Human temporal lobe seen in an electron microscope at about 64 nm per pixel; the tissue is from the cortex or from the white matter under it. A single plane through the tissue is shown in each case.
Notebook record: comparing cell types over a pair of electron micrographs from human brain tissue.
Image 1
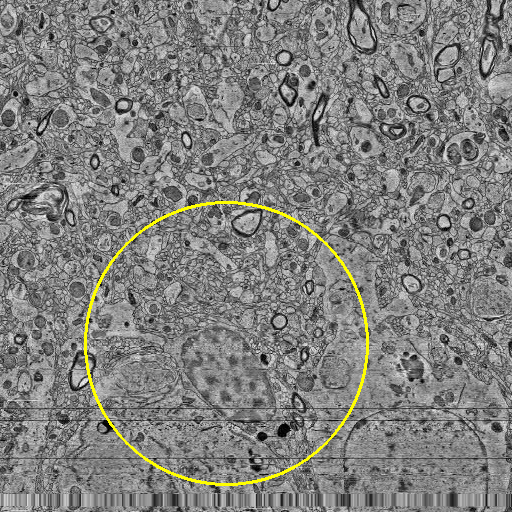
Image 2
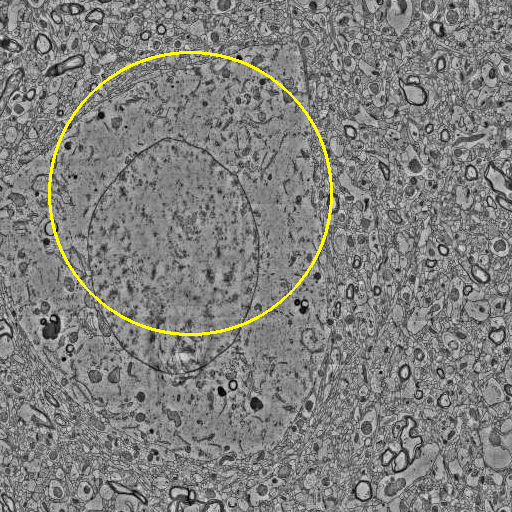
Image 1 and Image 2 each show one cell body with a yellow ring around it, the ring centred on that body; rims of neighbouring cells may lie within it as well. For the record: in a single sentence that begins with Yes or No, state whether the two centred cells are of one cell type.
No, two cell types are found among the centred cells of Image 1 and Image 2.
